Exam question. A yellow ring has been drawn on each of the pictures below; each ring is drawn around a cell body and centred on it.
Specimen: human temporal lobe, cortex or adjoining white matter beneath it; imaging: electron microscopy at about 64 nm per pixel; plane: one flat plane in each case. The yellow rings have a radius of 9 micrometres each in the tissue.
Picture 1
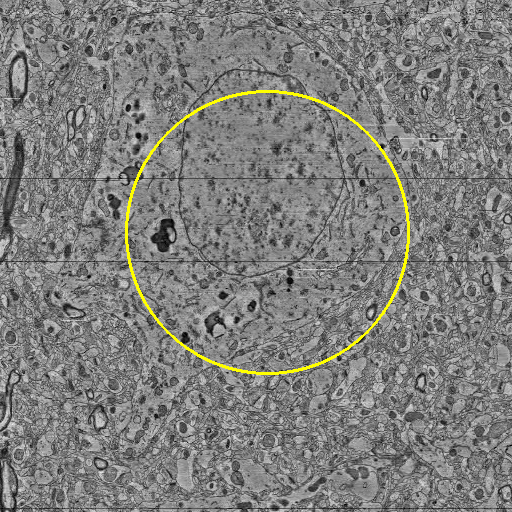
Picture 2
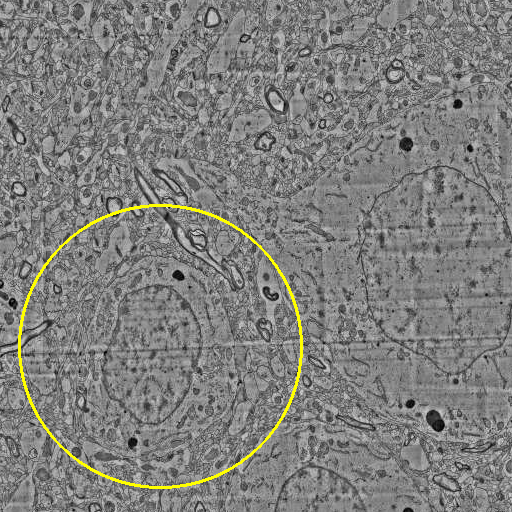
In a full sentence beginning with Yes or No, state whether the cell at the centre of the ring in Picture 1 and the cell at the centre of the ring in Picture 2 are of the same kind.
No, the cells are of two kinds.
